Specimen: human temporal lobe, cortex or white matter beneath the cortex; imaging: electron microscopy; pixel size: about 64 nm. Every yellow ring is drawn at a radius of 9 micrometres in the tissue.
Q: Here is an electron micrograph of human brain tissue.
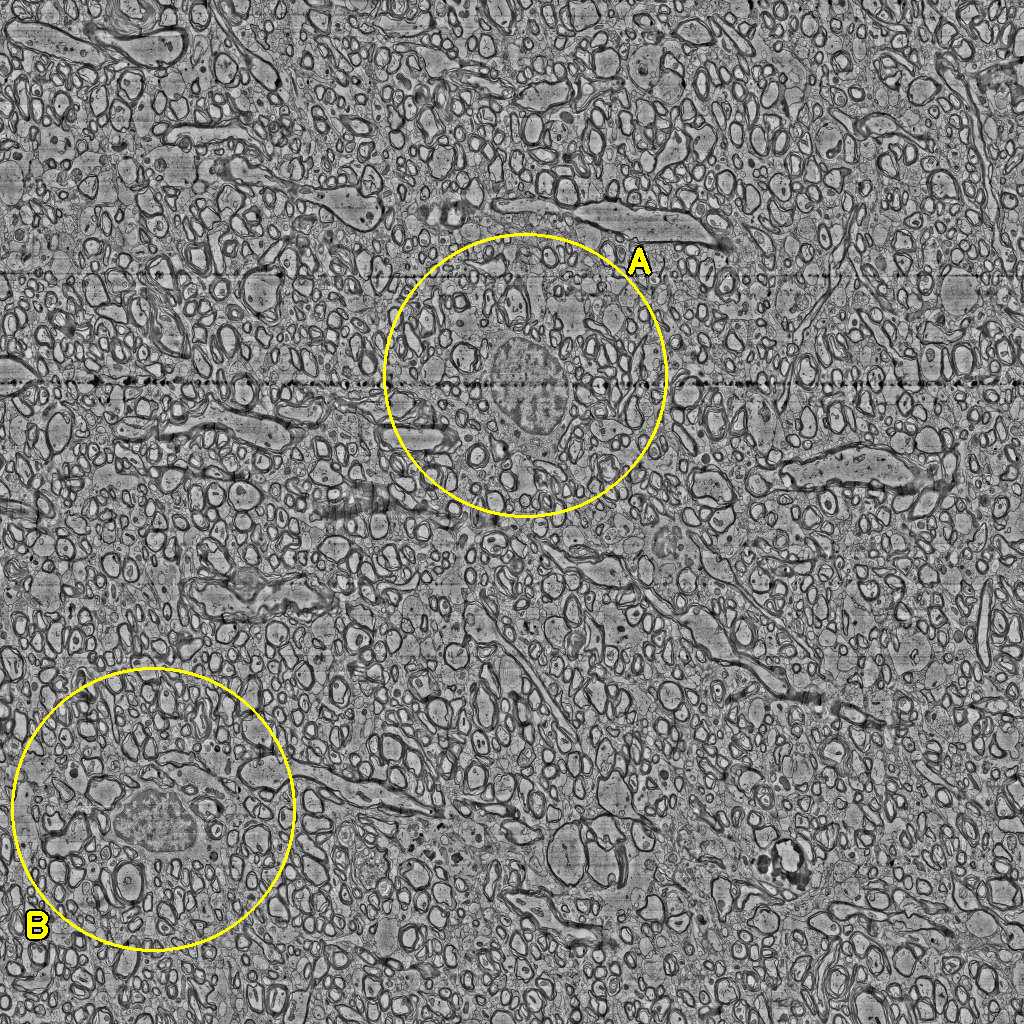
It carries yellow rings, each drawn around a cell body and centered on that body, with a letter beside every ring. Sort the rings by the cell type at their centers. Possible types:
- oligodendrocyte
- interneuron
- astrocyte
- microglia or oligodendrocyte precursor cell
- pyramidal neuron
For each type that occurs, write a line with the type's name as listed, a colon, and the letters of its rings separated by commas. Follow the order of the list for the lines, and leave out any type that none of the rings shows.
oligodendrocyte: A, B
